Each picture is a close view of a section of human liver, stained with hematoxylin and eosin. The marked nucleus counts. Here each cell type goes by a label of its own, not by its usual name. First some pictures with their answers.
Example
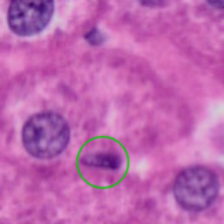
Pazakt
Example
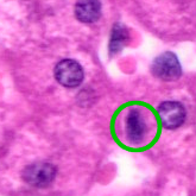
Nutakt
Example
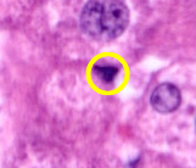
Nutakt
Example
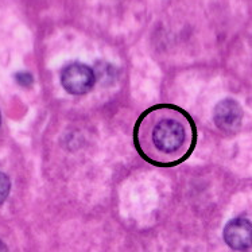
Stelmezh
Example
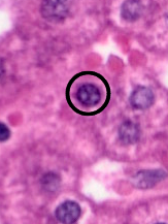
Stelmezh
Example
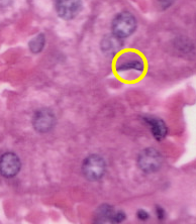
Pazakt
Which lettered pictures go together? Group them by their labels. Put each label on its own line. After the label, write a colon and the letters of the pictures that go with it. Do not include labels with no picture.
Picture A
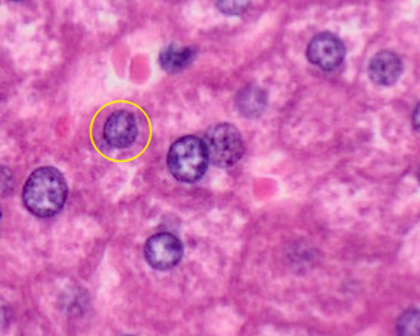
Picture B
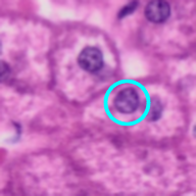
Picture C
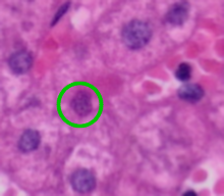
Stelmezh: A, B, C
